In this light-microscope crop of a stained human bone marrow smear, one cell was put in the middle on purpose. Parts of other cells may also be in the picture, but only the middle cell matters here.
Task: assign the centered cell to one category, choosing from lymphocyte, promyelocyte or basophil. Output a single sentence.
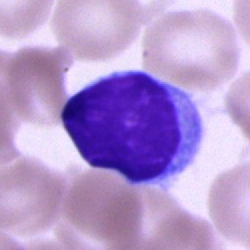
The single cell at the center of the crop is a lymphocyte.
